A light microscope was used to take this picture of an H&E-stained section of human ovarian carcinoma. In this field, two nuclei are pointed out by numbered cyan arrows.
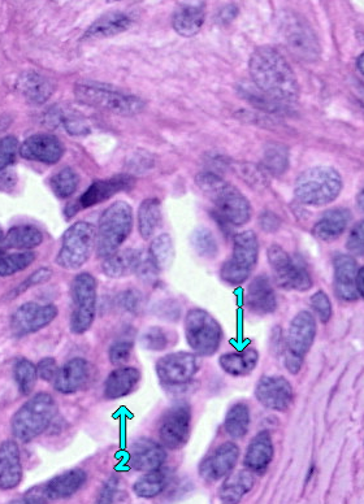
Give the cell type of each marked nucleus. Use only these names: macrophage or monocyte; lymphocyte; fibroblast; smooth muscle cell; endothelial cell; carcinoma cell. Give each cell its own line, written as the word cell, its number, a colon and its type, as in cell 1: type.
cell 1: macrophage or monocyte
cell 2: carcinoma cell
